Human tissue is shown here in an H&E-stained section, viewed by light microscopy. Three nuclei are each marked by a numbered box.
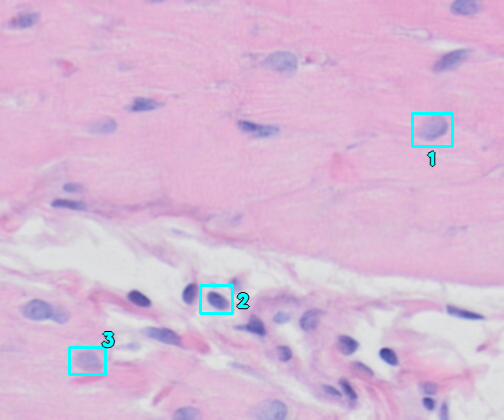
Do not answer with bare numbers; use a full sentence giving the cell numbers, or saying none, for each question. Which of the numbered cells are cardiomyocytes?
The cells numbered 1 and 3 are, by type, cardiomyocytes.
